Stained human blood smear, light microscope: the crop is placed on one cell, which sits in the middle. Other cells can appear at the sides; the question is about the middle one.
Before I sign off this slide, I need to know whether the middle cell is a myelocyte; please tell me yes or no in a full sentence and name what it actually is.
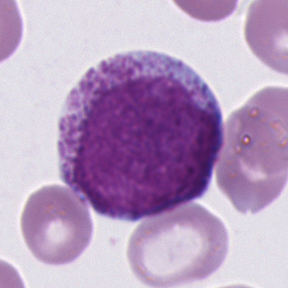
Yes, the centered cell in this field is a myelocyte.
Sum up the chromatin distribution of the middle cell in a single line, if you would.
Check the chromatin: it is fine and not coarsely clumped.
